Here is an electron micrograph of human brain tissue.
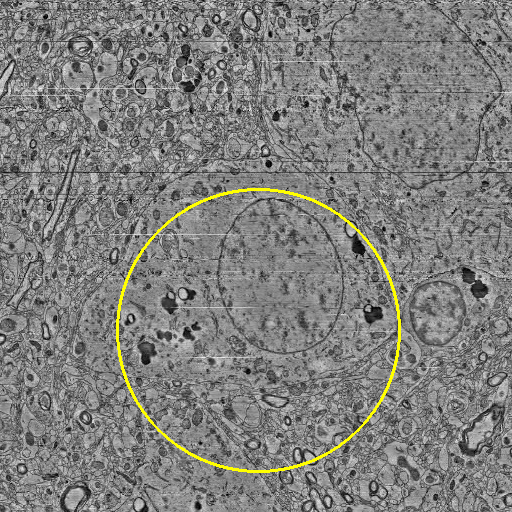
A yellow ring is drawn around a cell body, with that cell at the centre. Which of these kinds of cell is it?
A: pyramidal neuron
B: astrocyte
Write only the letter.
A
